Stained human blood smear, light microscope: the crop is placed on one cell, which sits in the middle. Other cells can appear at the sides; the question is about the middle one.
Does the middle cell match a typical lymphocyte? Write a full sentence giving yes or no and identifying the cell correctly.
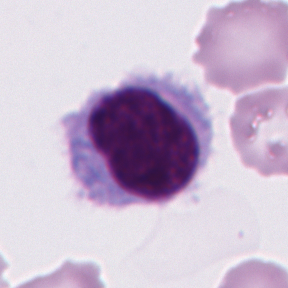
No, it is not a typical lymphocyte that sits at the centre but a hairy cell.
